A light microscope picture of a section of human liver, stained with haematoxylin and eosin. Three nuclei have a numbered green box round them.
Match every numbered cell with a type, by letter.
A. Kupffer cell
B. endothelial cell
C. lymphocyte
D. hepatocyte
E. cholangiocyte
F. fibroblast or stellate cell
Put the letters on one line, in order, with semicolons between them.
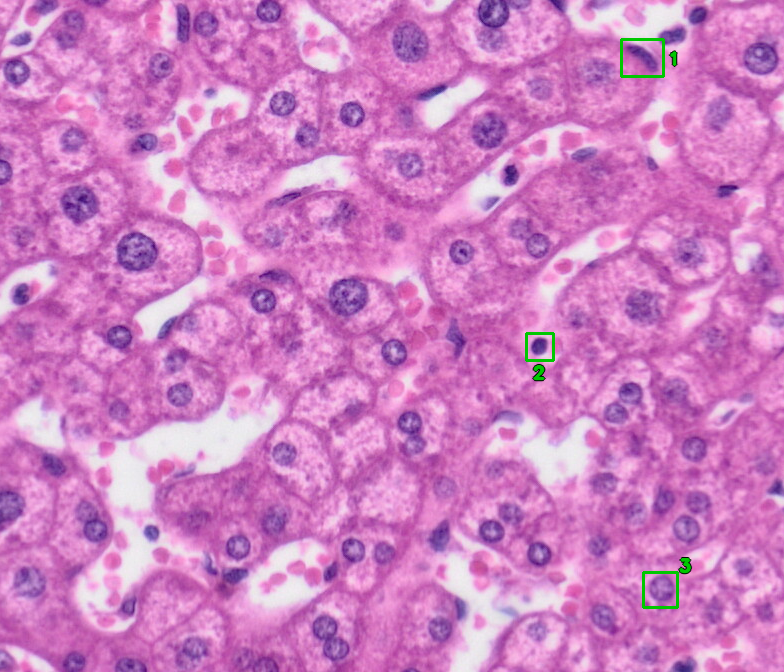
F; C; D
